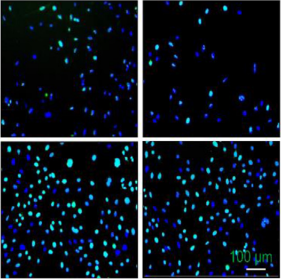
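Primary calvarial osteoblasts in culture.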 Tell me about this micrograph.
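The nuclei are small, round to oval, and scattered singly across each field without forming clusters or layers. Many nuclei are blue, and a good share glow green to cyan where the green label overlaps the blue. The two lower fields hold noticeably more nuclei than the two upper fields, so the cells lie more densely there. No cytoplasm or cell outlines can be seen, only the nuclei.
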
